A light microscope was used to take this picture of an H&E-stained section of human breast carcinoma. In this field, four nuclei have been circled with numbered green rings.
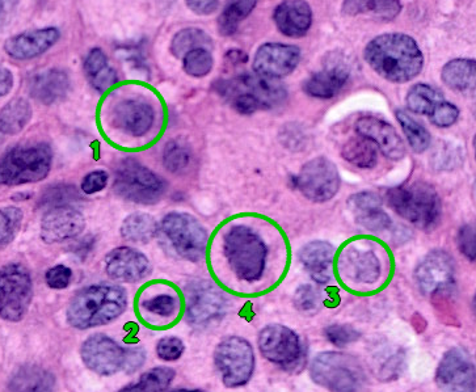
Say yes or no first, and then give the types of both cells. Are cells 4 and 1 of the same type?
Yes, cells number 4 and number 1 are both carcinoma cells.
